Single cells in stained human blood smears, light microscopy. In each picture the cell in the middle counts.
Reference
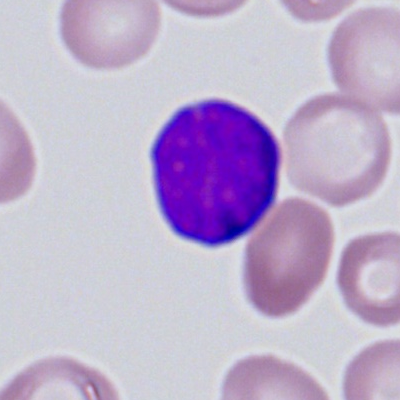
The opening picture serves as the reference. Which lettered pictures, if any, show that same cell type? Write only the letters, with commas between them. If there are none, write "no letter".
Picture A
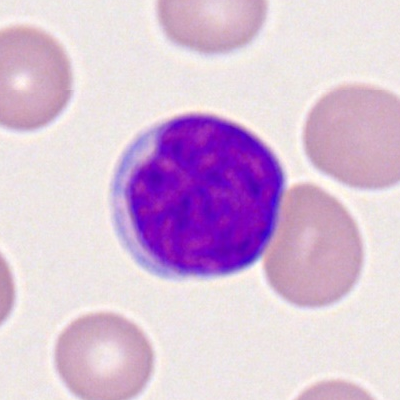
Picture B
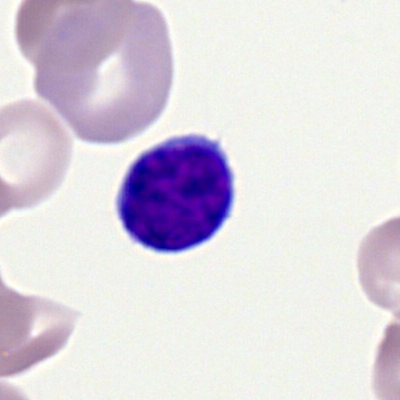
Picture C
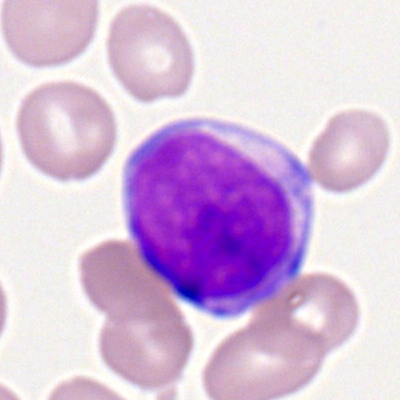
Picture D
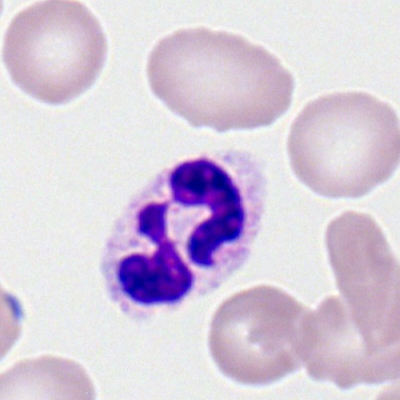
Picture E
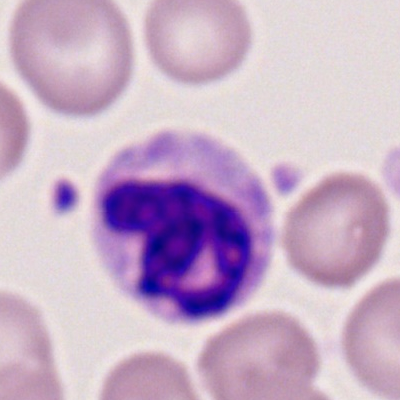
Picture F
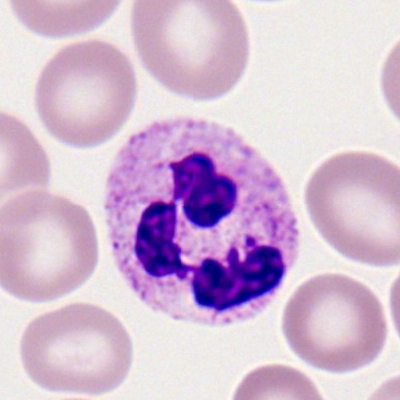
C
